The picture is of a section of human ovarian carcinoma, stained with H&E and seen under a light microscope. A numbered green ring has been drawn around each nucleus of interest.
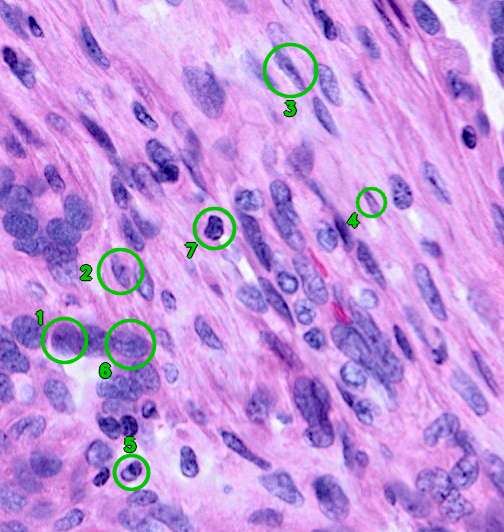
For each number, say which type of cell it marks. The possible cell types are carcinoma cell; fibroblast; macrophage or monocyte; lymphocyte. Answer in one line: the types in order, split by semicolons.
carcinoma cell; fibroblast; fibroblast; fibroblast; lymphocyte; carcinoma cell; lymphocyte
